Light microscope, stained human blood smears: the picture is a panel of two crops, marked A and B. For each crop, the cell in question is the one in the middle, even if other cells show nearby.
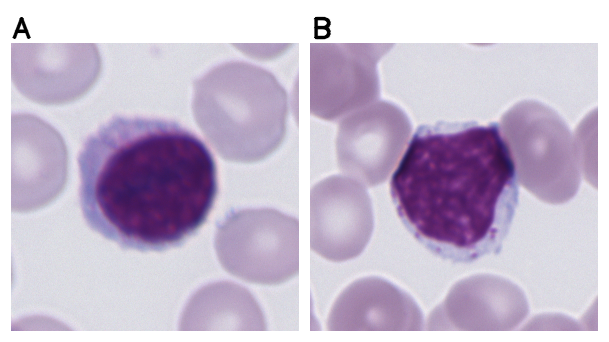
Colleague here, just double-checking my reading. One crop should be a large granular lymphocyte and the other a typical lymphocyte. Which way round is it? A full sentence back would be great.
Crop A contains a typical lymphocyte, and crop B contains a large granular lymphocyte.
